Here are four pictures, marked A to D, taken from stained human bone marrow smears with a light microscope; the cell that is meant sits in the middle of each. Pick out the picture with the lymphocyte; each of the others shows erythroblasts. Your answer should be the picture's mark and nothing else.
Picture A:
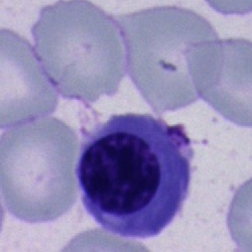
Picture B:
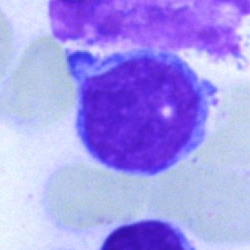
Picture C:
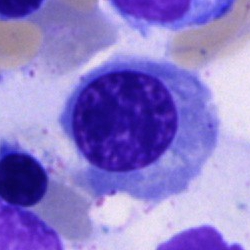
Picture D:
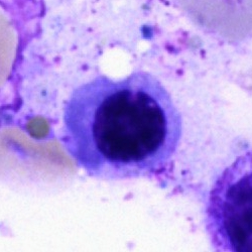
B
